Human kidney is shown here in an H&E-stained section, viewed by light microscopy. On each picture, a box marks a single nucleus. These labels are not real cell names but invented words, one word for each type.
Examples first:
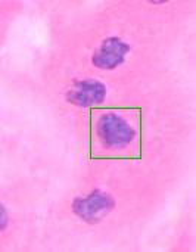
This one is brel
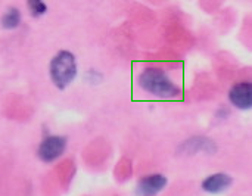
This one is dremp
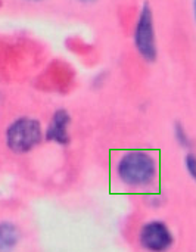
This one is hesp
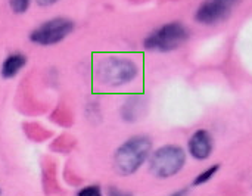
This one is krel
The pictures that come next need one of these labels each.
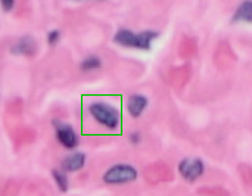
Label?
dremp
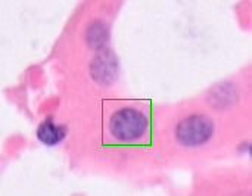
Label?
hesp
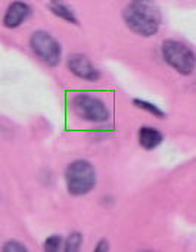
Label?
krel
